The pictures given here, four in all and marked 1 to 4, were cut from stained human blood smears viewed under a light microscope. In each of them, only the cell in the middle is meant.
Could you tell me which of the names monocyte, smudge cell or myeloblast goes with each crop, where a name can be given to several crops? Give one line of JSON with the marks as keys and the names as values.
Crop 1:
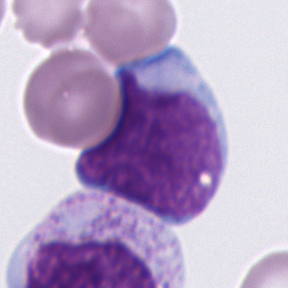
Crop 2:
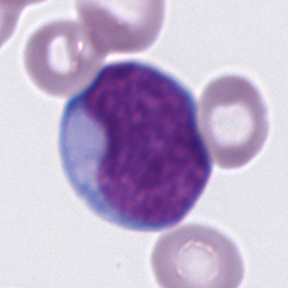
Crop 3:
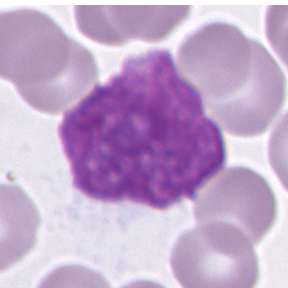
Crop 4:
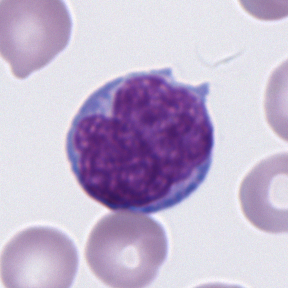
{"1": "myeloblast", "2": "myeloblast", "3": "smudge cell", "4": "myeloblast"}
